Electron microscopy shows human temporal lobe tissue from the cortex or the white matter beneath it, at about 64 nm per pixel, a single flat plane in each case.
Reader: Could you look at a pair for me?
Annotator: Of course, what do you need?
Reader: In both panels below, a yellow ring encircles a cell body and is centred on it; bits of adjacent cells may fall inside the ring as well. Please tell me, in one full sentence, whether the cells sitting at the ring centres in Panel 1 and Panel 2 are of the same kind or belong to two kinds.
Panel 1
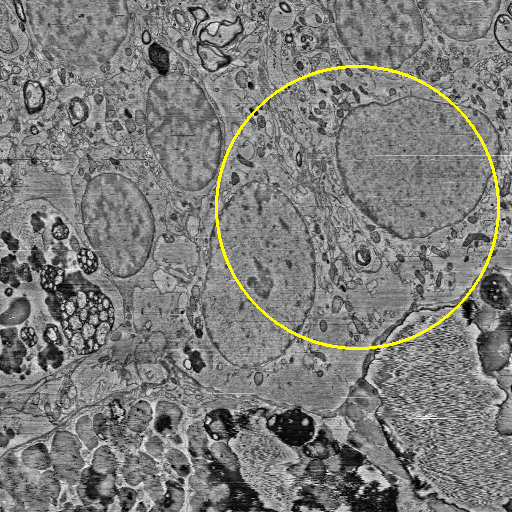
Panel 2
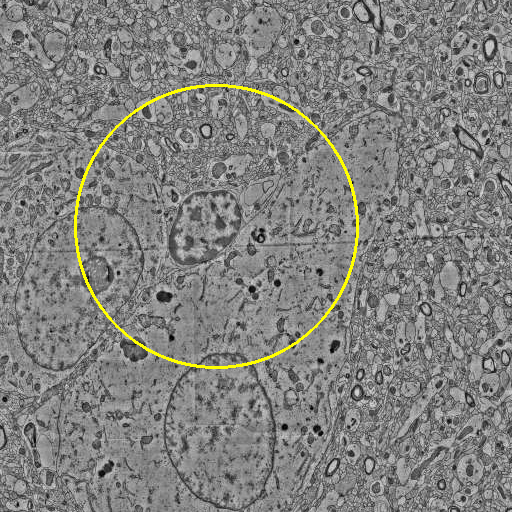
The cell at the ring's centre in Panel 1 and the one in Panel 2 are of the same kind.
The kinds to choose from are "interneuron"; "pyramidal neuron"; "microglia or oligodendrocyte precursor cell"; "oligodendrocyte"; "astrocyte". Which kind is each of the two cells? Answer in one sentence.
Both rings mark a microglial cell or oligodendrocyte precursor cell, one in each picture.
